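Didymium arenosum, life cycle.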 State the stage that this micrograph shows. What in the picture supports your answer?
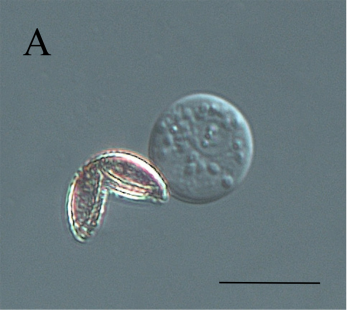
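A thick-walled shell is split open into a V shape. A round, granular body lies just outside the opened shell.
Answer: Spores with V-shaped split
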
